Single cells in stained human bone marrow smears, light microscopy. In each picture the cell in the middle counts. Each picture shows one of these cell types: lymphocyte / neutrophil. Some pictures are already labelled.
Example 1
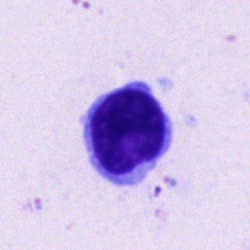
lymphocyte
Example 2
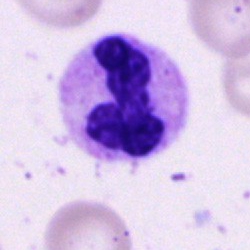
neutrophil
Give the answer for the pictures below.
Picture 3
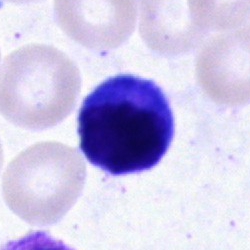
lymphocyte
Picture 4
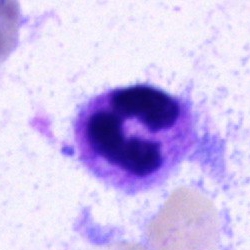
neutrophil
